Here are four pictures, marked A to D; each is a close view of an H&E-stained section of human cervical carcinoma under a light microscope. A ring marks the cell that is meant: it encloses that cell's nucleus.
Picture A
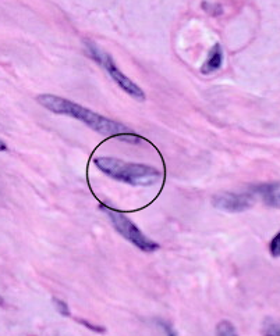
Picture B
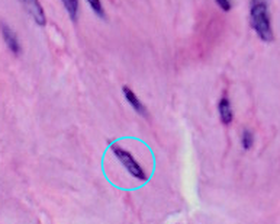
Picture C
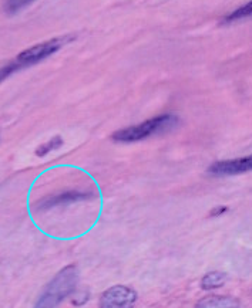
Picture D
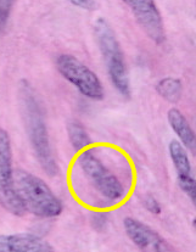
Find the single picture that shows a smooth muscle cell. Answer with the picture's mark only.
D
